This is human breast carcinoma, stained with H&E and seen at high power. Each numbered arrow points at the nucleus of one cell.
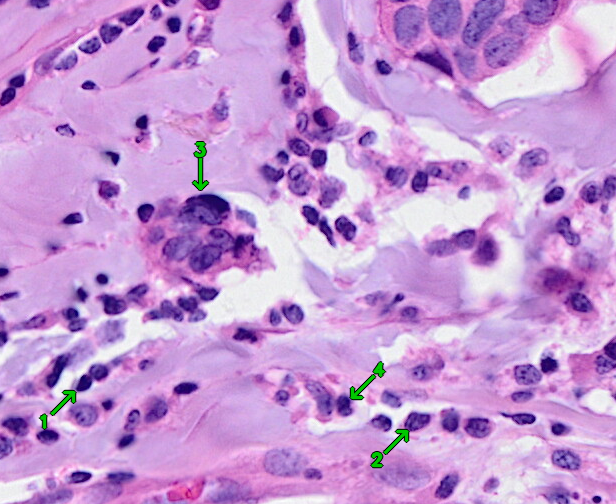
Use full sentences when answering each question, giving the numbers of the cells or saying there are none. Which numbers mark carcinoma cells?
Among the marked cells, a carcinoma cell is found only at number 3.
